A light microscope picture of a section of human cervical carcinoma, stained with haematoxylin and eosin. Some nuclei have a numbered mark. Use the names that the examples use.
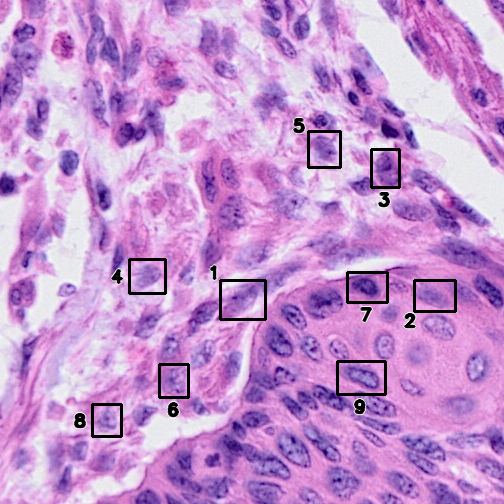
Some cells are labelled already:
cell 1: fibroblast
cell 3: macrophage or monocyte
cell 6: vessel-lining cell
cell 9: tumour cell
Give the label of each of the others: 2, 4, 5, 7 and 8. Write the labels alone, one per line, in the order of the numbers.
tumour cell
fibroblast
fibroblast
tumour cell
fibroblast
